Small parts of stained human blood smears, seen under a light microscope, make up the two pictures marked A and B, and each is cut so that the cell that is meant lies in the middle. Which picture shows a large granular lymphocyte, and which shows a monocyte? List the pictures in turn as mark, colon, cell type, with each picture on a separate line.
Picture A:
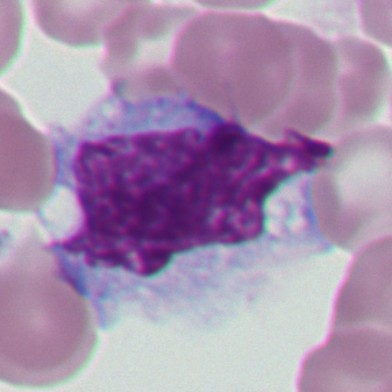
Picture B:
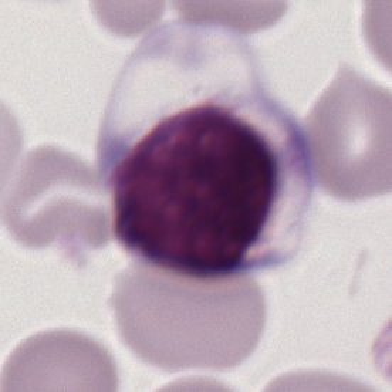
A: monocyte
B: large granular lymphocyte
